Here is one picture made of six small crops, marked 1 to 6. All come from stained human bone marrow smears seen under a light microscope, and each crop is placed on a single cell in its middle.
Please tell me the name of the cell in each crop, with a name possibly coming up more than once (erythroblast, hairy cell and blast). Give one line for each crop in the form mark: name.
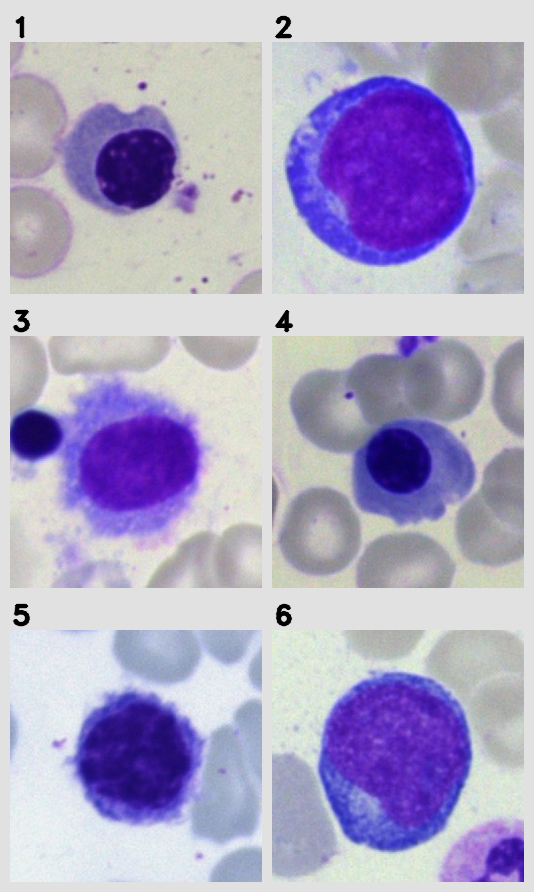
1: erythroblast
2: blast
3: hairy cell
4: erythroblast
5: hairy cell
6: blast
